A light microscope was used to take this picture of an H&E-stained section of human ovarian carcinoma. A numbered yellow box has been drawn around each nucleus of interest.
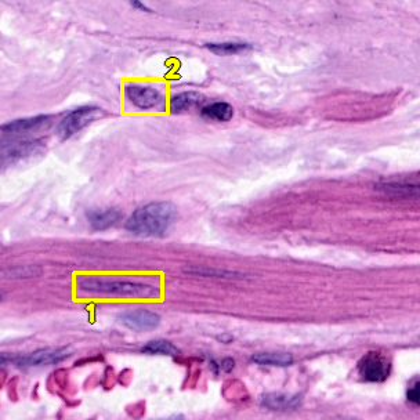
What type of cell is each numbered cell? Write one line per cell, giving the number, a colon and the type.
1: smooth muscle cell
2: macrophage or monocyte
